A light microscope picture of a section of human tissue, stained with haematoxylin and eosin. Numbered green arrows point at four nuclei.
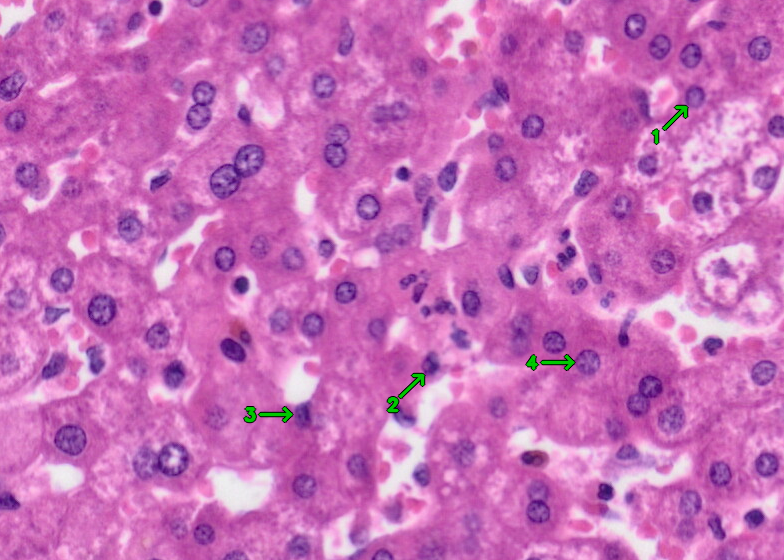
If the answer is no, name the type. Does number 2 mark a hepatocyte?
No, it is a fibroblast or stellate cell.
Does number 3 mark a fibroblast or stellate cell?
Yes.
